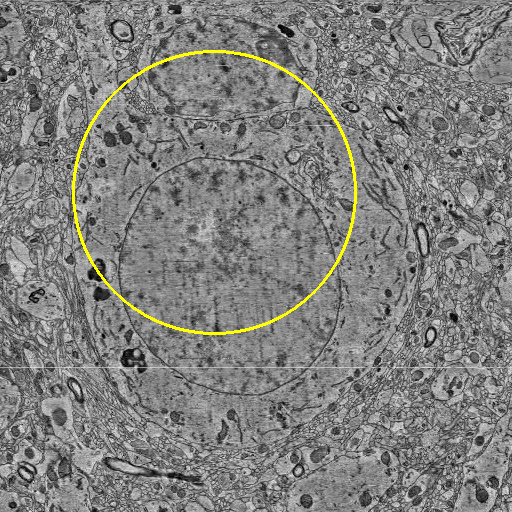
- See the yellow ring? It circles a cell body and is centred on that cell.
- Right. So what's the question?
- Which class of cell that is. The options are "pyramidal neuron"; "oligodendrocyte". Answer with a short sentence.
The centre of the ring holds a pyramidal neuron.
